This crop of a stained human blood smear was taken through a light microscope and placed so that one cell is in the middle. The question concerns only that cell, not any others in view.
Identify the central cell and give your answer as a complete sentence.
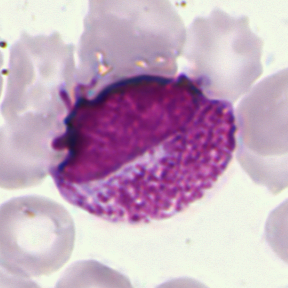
Standing at the centre of this crop is a myelocyte.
